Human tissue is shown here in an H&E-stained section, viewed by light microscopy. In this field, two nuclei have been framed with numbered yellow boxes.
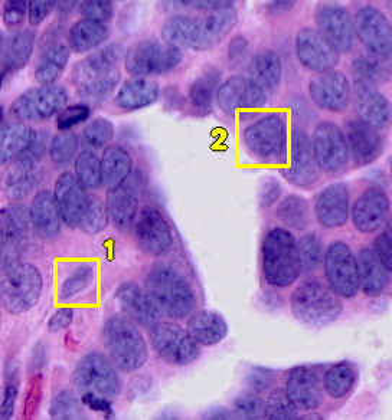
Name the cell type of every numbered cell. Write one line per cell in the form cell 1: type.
cell 1: fibroblast
cell 2: carcinoma cell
